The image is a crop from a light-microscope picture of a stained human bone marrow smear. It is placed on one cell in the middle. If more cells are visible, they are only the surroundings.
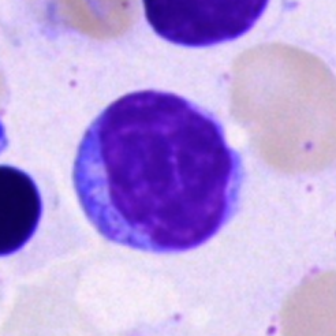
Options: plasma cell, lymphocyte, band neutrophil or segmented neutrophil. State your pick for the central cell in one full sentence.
Located at the centre of the crop is a lymphocyte.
